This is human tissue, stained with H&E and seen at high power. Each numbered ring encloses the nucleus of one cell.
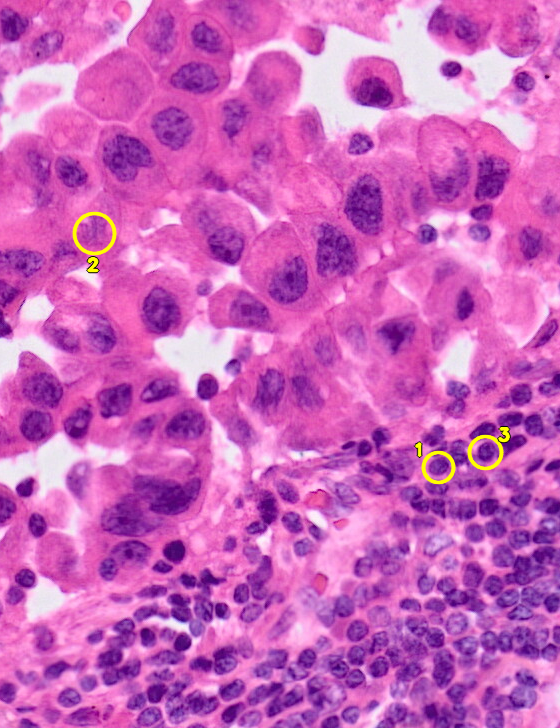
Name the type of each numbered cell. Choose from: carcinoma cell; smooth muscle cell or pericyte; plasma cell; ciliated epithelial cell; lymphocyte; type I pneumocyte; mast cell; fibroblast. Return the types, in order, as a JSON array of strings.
["lymphocyte", "carcinoma cell", "lymphocyte"]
